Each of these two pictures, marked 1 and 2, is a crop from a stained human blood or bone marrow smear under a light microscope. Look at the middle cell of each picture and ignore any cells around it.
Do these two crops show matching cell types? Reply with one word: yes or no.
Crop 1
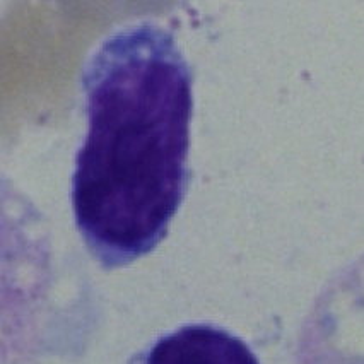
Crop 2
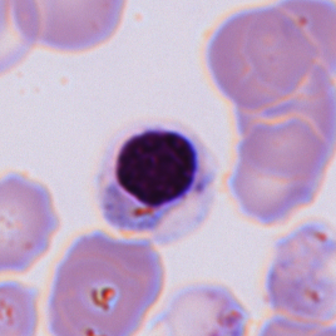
no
